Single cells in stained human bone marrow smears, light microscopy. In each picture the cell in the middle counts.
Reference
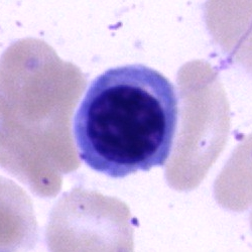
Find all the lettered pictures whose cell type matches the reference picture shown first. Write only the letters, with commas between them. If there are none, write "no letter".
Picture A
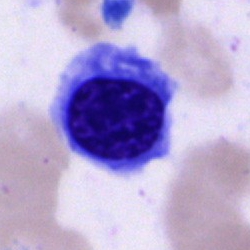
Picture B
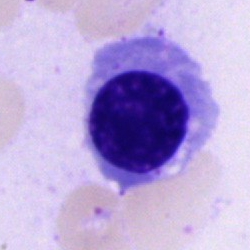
A, B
